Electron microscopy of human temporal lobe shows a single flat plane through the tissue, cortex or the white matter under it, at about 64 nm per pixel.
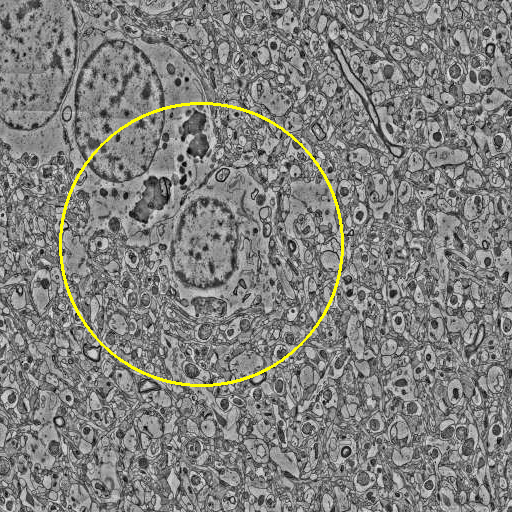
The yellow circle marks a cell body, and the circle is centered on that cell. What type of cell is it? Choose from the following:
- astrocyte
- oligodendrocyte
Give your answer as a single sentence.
This cell body belongs to an astrocyte.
